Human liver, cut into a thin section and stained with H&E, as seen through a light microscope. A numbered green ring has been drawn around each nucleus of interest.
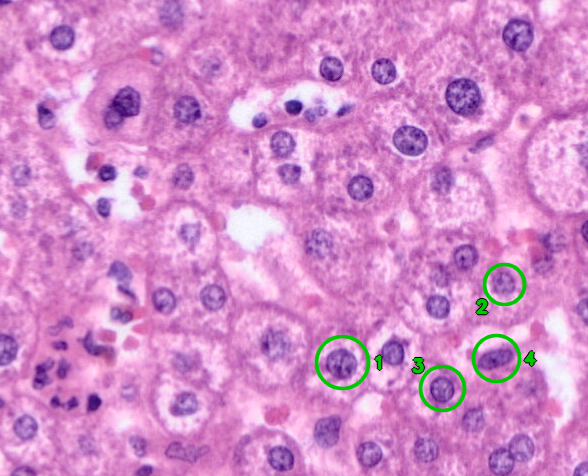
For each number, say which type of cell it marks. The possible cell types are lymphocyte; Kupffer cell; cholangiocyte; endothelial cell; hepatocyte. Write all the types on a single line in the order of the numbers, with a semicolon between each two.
hepatocyte; hepatocyte; hepatocyte; Kupffer cell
